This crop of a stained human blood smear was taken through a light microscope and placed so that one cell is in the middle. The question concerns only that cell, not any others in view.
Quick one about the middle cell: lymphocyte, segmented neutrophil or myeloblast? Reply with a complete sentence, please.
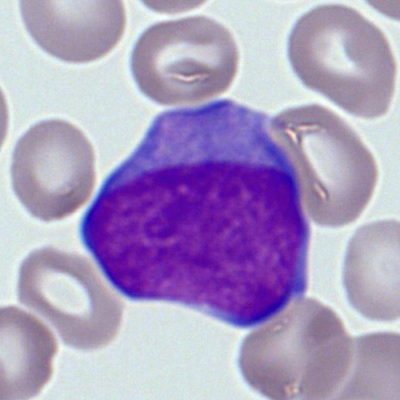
The central cell shown in this smear crop is a myeloblast.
